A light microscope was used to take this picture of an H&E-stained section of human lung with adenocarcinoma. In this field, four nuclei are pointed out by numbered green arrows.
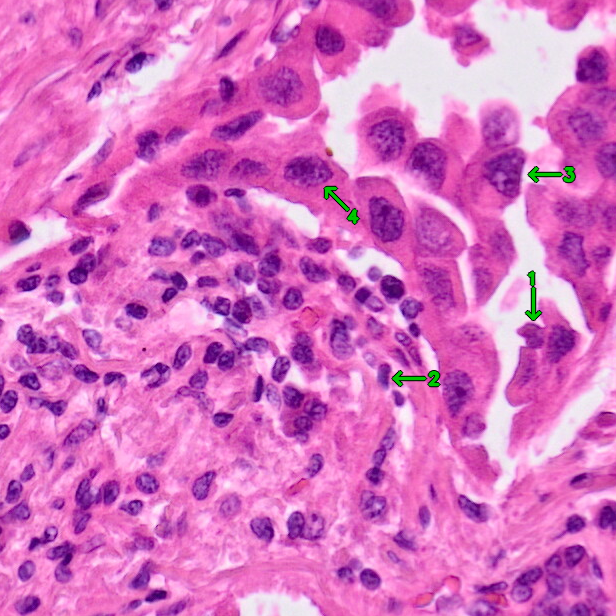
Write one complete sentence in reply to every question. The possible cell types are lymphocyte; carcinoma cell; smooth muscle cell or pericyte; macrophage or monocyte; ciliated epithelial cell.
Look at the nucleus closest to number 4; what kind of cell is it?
The nucleus nearest to number 4 is that of a carcinoma cell.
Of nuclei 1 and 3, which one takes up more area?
Number 3 is larger; its area is about 3 times that of number 1.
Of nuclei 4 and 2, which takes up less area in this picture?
Nucleus 2 is the smaller one; nucleus 4 covers about 3 times its area.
